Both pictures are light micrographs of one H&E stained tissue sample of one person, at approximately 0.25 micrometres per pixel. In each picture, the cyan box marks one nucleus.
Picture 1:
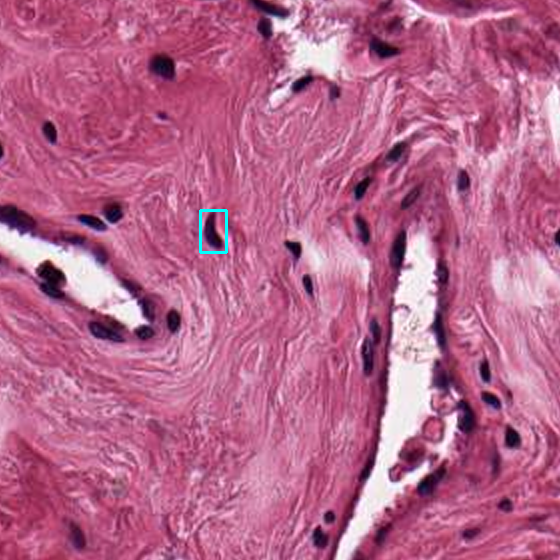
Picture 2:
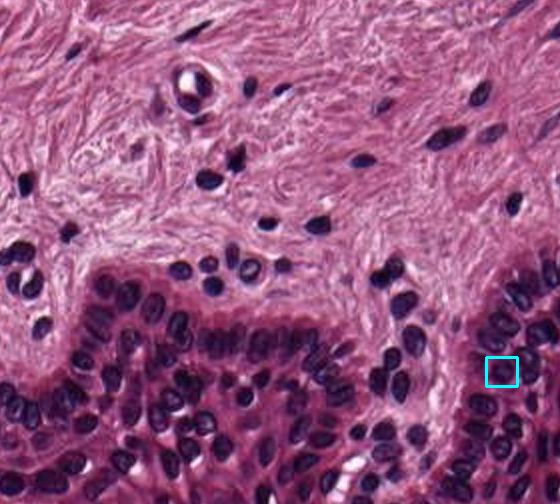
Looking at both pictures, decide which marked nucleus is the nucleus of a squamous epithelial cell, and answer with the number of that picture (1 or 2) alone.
2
